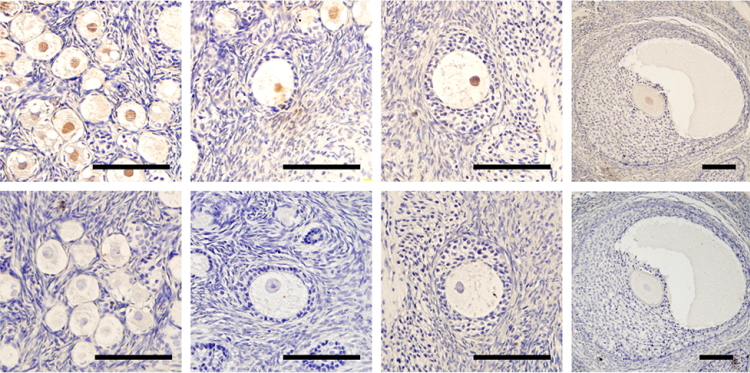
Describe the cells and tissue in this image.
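Sections of ovary show oocytes in follicles of increasing size, from clusters of small follicles with a single flat cell layer to a large follicle with a fluid-filled cavity, set in a spindle-celled blue stroma. In the upper row a round body within each oocyte is stained brown while the cytoplasm, the surrounding follicle cells and the stroma are blue or pale; the lower row shows the same structures without brown stain.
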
